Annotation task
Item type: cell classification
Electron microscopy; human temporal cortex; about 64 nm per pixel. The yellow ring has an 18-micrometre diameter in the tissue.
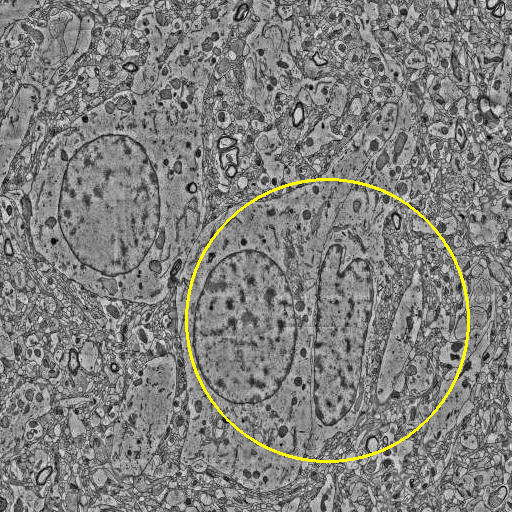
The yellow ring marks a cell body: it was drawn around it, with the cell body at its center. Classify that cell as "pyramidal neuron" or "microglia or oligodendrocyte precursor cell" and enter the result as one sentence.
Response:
The ring's center falls on a microglial cell or oligodendrocyte precursor cell.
